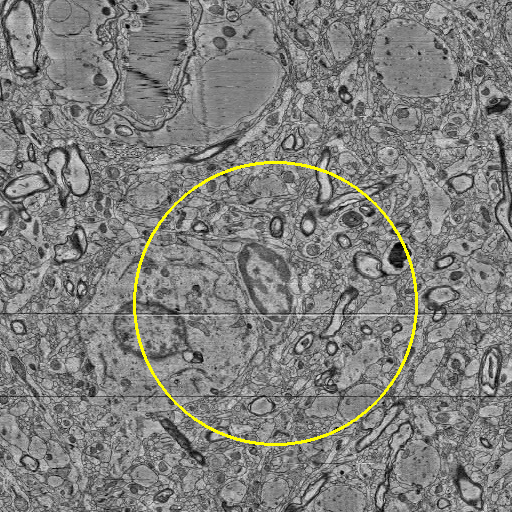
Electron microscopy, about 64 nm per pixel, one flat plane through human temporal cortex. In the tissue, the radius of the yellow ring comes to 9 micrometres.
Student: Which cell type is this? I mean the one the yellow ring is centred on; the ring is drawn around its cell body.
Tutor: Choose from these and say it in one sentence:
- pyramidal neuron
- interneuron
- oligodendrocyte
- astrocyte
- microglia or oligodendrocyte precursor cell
The cell the ring is centred on is a microglial cell or oligodendrocyte precursor cell.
